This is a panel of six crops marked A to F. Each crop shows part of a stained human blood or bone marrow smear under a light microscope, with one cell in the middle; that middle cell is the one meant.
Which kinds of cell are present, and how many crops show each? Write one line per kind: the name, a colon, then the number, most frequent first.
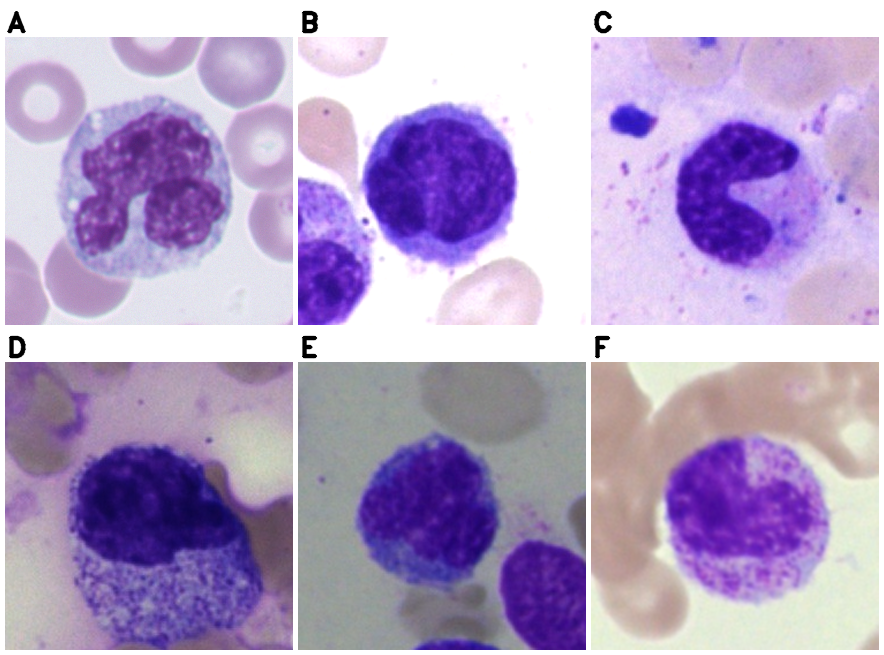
monocyte: 3
metamyelocyte: 2
band neutrophil: 1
